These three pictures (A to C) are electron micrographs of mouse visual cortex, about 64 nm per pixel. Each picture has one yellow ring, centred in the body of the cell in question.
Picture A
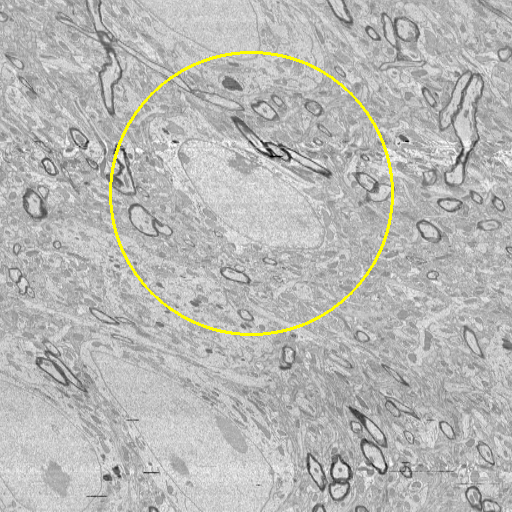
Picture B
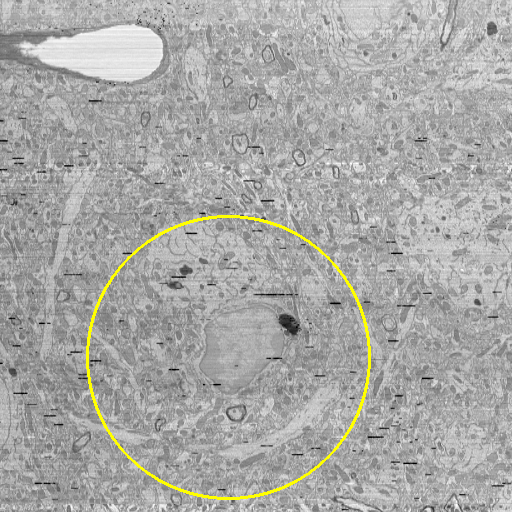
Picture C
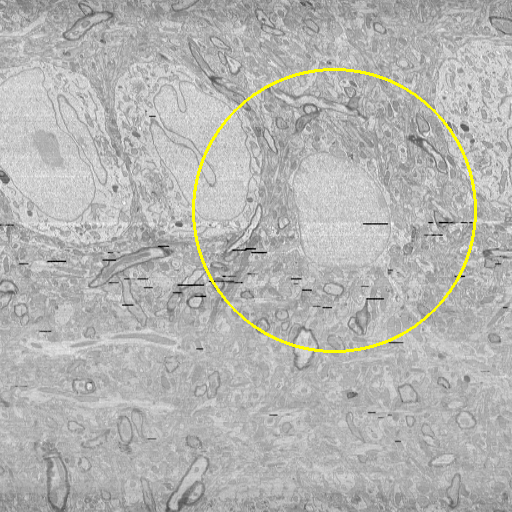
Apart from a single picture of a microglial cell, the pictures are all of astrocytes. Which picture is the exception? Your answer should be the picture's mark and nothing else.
B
